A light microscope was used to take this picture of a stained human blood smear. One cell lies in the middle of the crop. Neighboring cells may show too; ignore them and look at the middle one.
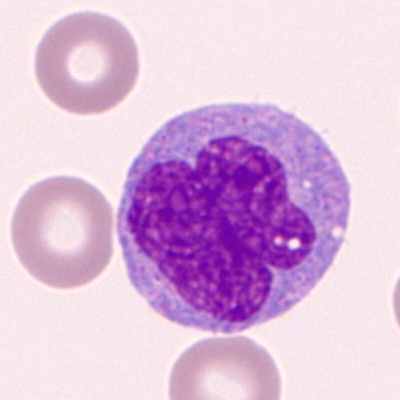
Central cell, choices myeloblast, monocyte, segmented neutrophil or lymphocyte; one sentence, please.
The crop's centre is taken up by a monocyte.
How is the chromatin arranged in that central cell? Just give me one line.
In this cell the chromatin is fine rather than coarsely clumped.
